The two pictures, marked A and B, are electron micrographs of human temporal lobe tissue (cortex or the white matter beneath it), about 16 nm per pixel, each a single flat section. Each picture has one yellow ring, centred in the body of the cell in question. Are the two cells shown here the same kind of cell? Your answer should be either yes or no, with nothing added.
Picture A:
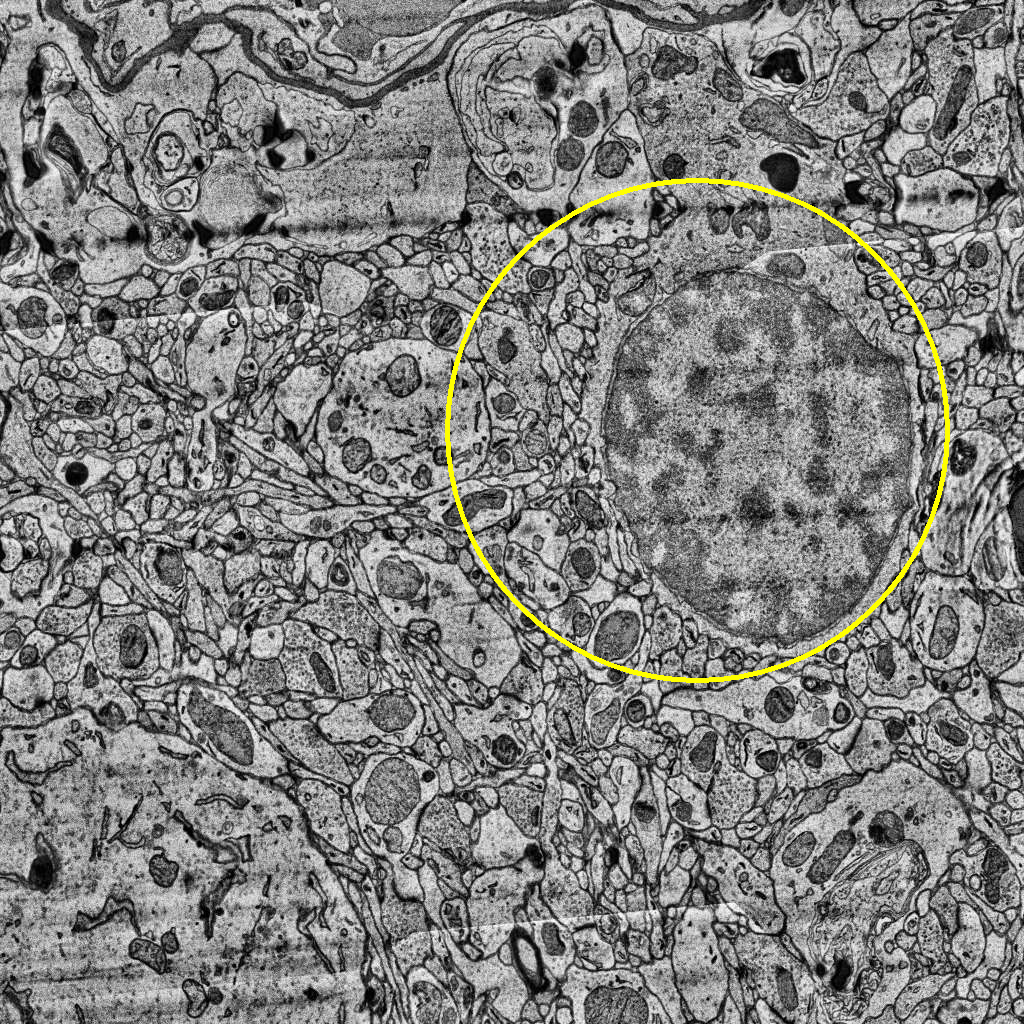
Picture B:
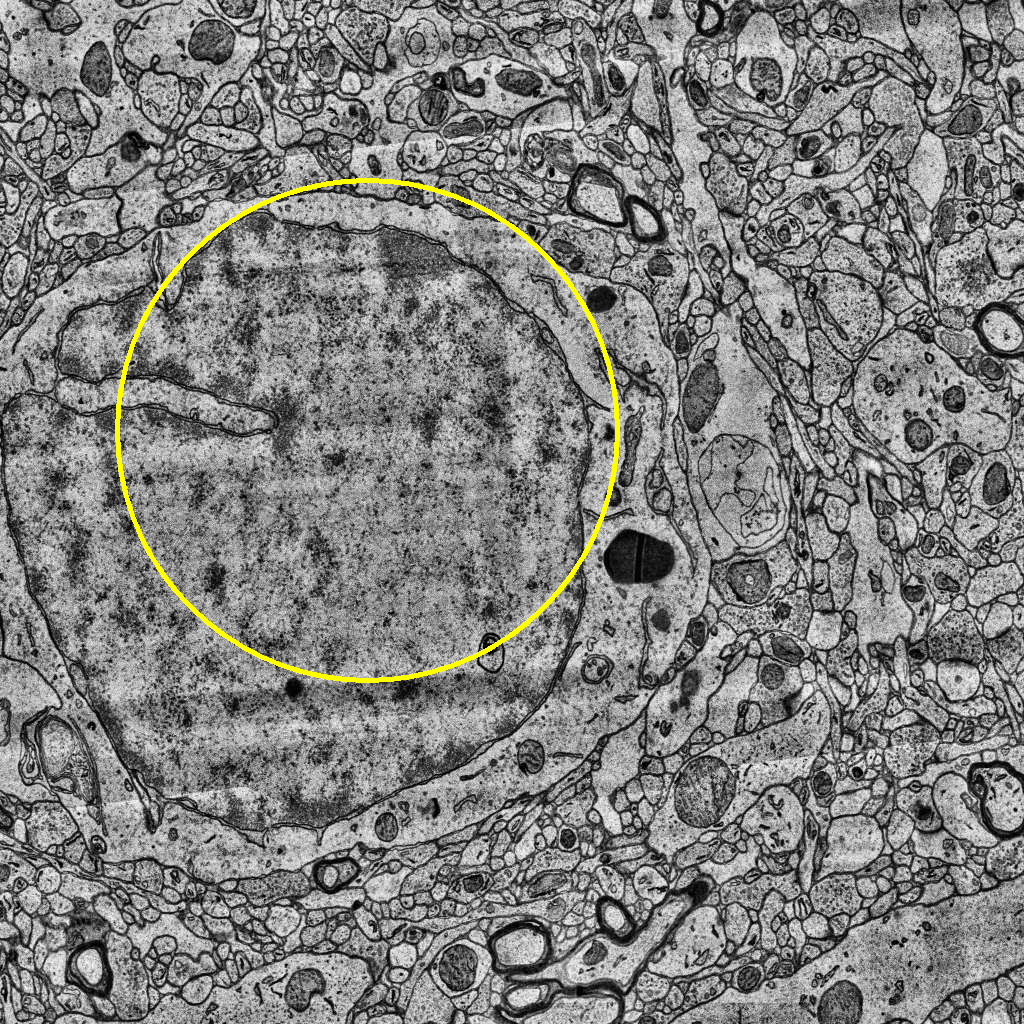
no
